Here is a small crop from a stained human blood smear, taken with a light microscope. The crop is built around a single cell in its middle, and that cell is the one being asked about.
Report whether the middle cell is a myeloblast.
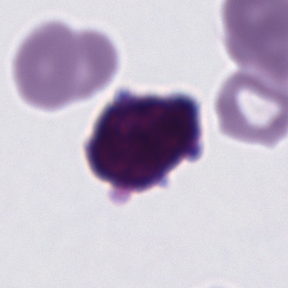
yes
